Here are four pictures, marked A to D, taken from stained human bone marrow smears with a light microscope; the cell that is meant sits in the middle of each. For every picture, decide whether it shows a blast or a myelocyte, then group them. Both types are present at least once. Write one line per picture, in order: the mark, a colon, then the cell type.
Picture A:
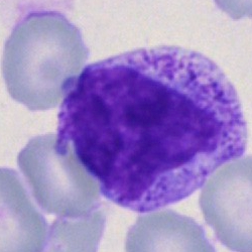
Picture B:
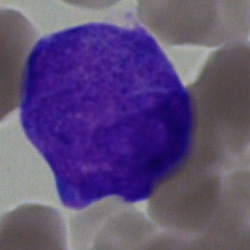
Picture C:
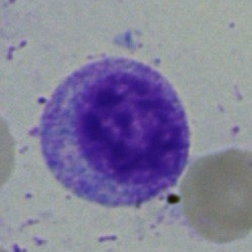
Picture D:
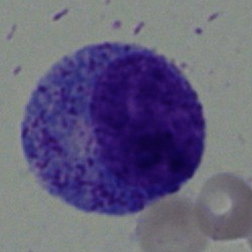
A: myelocyte
B: blast
C: myelocyte
D: myelocyte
